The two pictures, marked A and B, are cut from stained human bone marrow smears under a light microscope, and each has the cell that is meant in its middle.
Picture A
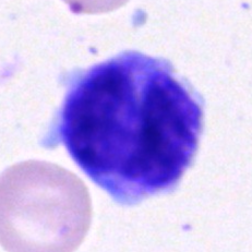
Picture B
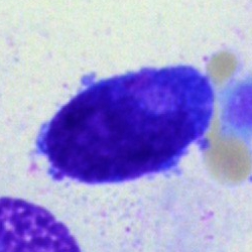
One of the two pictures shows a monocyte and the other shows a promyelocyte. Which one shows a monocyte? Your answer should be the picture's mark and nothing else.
A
